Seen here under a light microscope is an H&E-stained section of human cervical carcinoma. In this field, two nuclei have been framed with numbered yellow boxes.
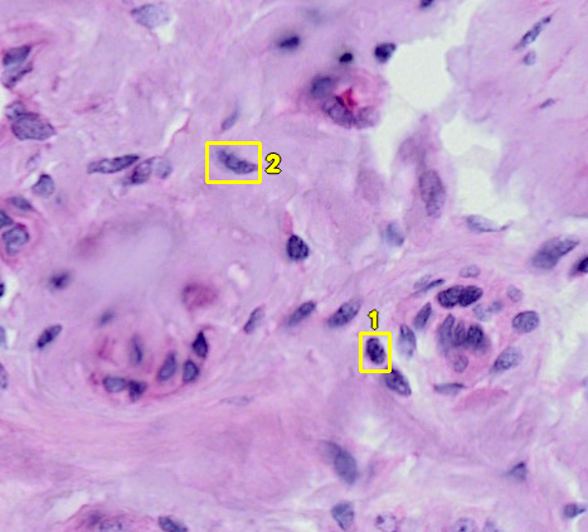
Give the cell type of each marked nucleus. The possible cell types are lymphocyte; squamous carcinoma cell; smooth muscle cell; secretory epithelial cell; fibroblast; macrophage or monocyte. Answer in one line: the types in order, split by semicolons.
lymphocyte; fibroblast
